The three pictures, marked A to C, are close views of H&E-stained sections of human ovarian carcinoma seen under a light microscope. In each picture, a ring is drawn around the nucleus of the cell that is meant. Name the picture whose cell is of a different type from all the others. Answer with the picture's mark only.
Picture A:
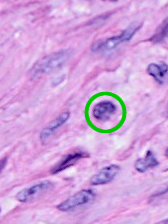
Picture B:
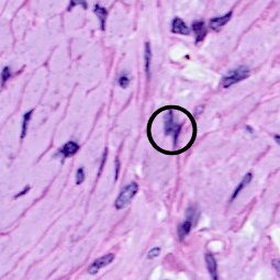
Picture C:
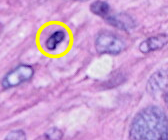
B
